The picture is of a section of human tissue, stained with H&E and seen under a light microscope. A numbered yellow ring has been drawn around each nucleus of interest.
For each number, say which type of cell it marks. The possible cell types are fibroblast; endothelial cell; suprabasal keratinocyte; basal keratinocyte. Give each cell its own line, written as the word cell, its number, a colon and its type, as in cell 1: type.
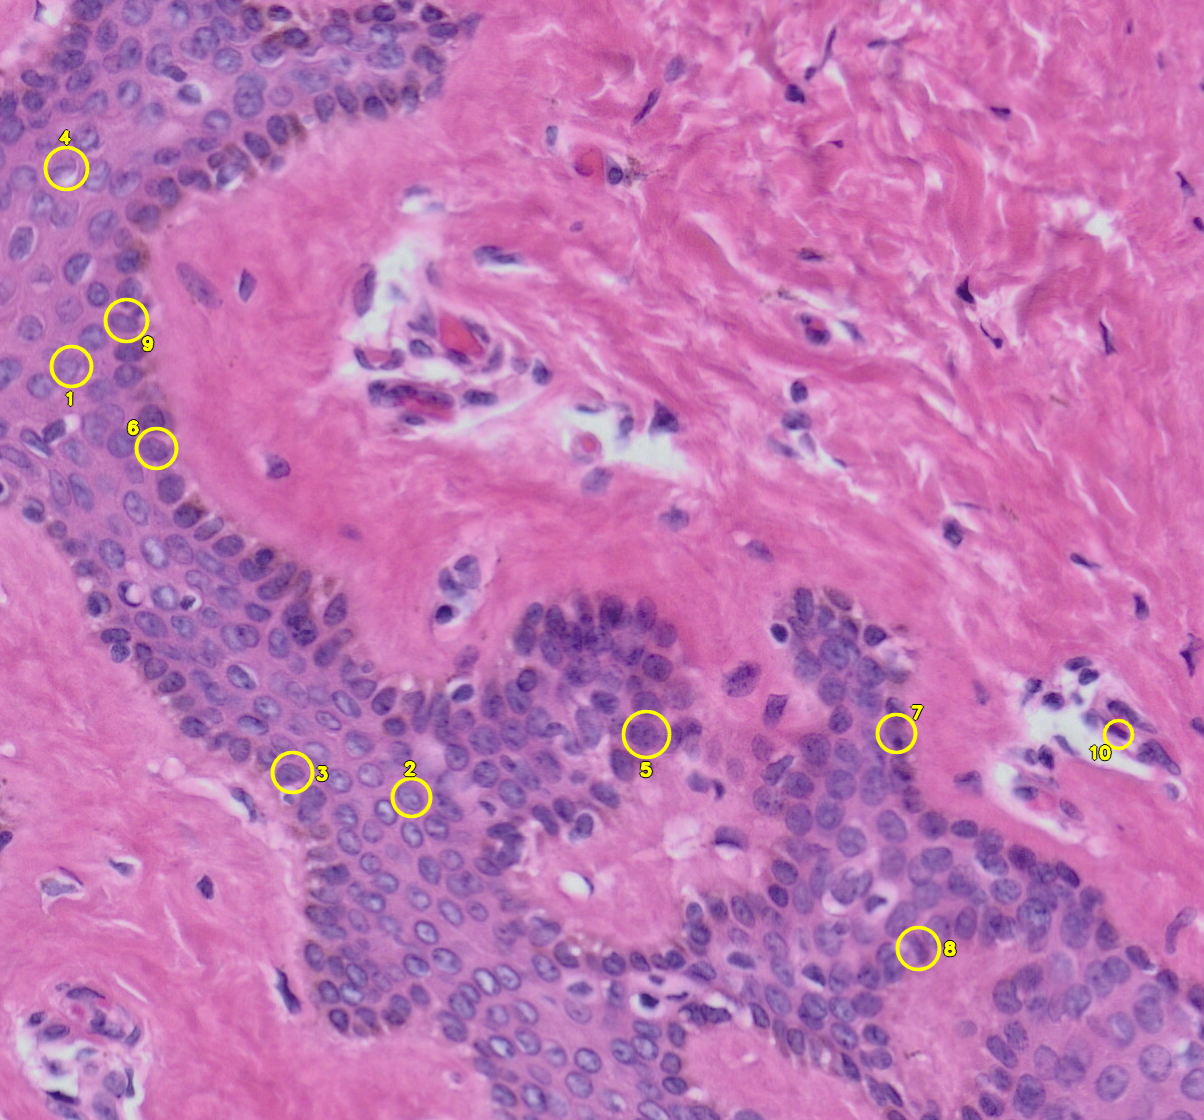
cell 1: suprabasal keratinocyte
cell 2: suprabasal keratinocyte
cell 3: basal keratinocyte
cell 4: suprabasal keratinocyte
cell 5: basal keratinocyte
cell 6: basal keratinocyte
cell 7: basal keratinocyte
cell 8: basal keratinocyte
cell 9: basal keratinocyte
cell 10: endothelial cell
